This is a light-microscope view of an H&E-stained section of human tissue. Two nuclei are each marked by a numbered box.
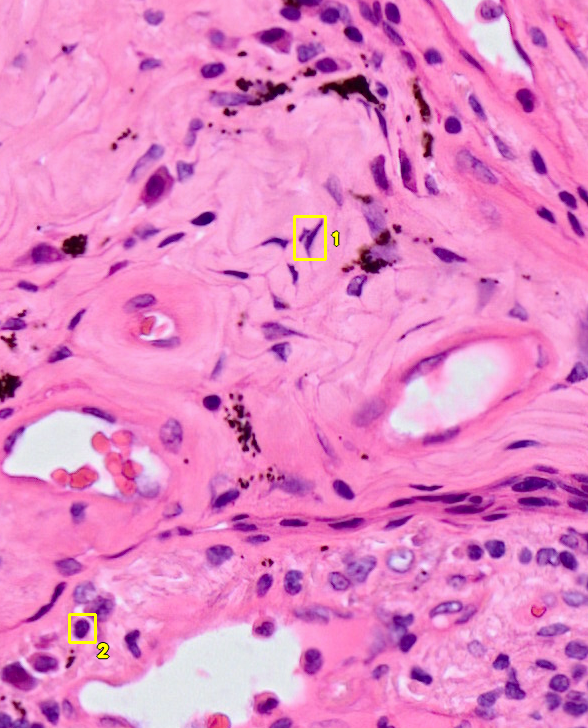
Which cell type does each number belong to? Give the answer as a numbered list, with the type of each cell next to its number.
1. fibroblast
2. lymphocyte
